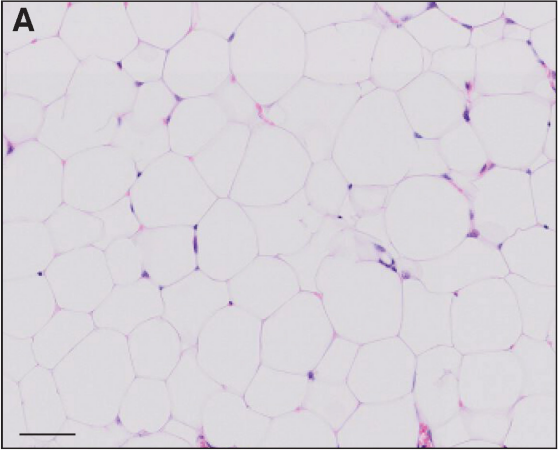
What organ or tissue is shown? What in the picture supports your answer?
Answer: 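Adipose tissue. Large, polygonal, empty-looking cells packed tightly together. Each cell is bounded only by a thin pale pink membrane. Small dark purple nuclei lie flattened at cell borders and in the spaces between cells.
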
